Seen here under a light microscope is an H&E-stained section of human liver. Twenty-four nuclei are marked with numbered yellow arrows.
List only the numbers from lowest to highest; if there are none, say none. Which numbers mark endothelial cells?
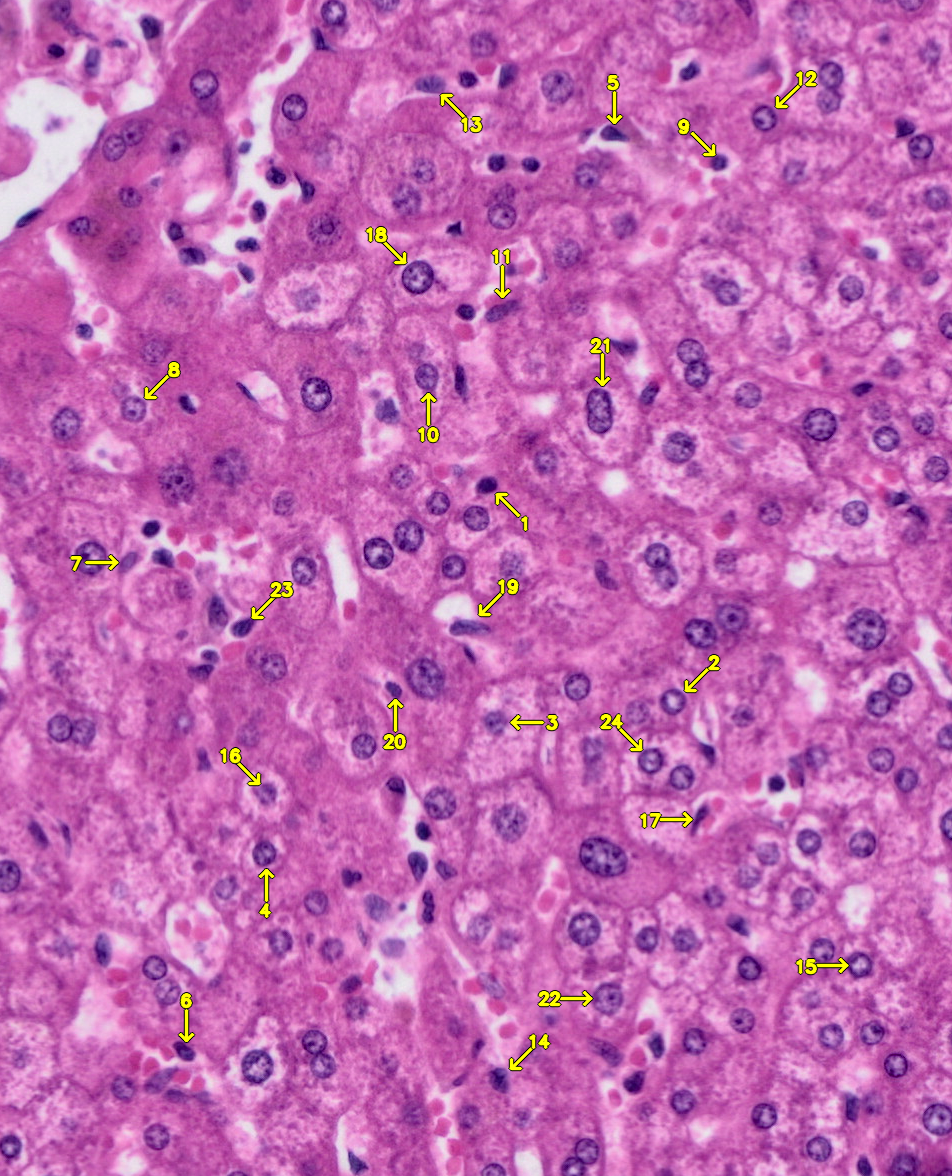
13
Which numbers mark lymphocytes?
1, 6, 9, 20, 23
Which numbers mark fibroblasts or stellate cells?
14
